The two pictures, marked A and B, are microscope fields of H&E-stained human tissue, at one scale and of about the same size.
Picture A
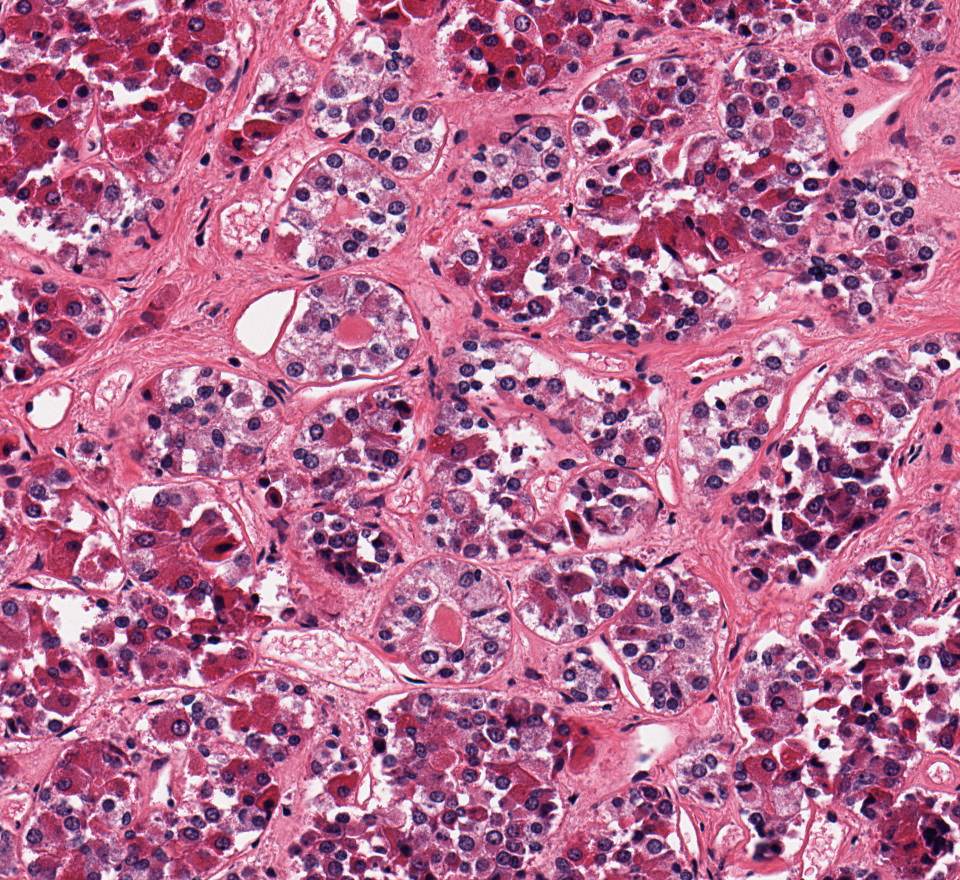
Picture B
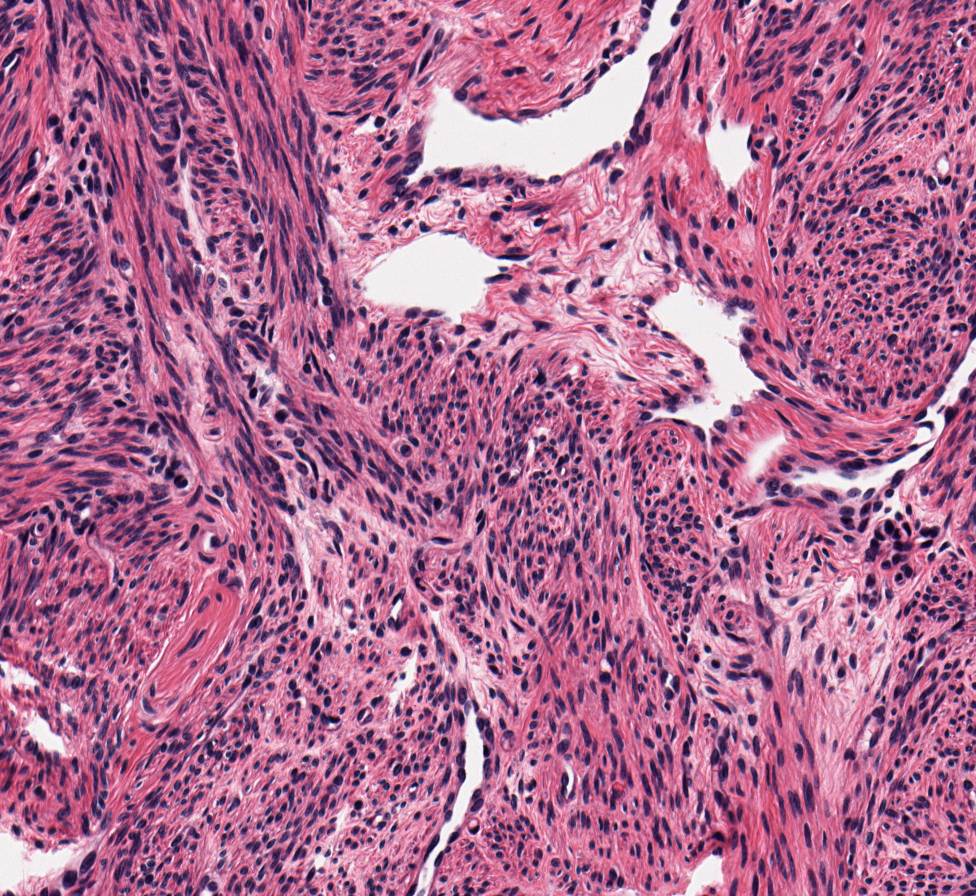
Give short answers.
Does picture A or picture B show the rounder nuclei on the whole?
A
